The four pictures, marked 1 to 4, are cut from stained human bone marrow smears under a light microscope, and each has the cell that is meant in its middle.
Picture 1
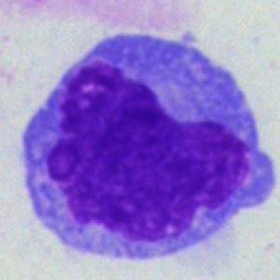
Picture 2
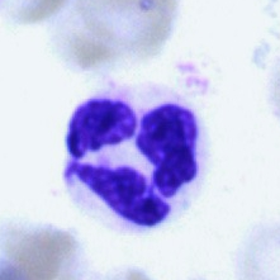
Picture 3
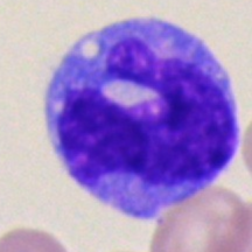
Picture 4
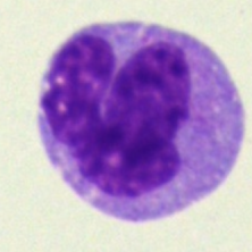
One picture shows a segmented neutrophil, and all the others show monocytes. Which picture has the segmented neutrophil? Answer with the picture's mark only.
2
